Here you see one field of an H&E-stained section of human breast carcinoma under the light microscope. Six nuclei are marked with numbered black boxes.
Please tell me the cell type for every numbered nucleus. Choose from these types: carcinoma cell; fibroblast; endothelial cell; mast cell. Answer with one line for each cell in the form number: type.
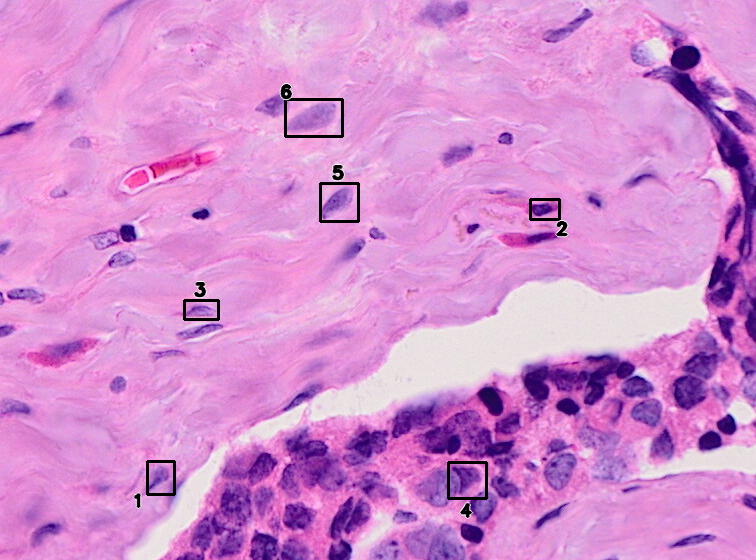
1: fibroblast
2: mast cell
3: fibroblast
4: carcinoma cell
5: fibroblast
6: fibroblast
